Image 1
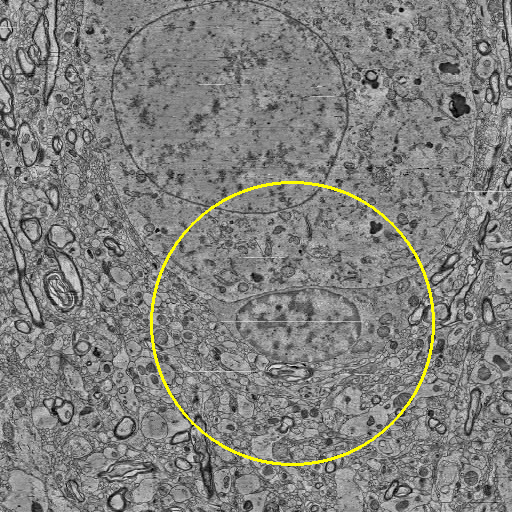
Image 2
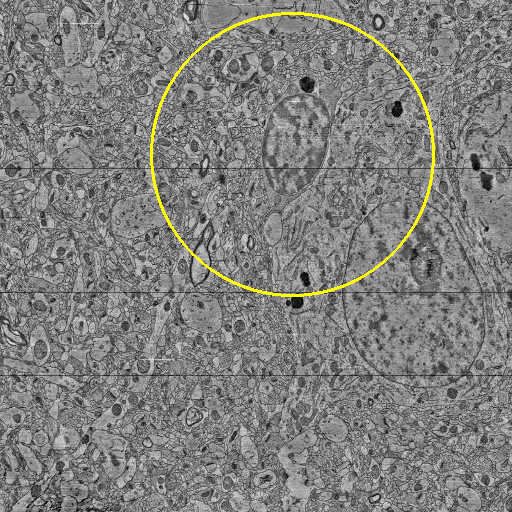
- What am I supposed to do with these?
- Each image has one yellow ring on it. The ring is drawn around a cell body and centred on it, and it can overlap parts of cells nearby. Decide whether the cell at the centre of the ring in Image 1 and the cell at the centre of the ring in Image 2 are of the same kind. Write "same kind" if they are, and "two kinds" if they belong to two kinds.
same kind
